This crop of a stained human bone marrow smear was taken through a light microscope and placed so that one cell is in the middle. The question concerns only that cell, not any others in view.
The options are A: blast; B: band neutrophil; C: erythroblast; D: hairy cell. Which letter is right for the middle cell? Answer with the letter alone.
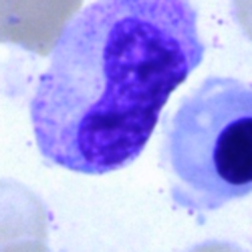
B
